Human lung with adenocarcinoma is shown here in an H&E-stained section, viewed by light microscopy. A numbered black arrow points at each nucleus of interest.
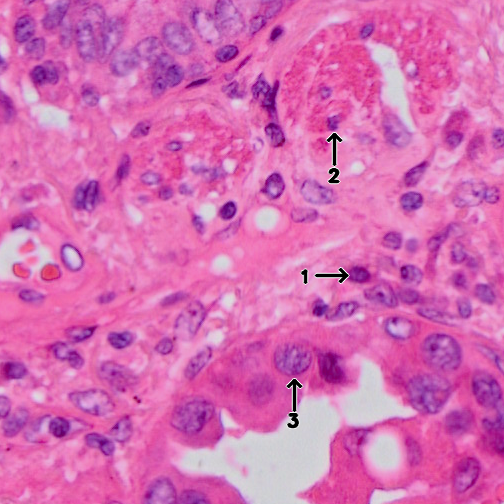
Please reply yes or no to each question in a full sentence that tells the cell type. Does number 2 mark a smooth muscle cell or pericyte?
Yes, cell number 2 is identified here as a smooth muscle cell or pericyte.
